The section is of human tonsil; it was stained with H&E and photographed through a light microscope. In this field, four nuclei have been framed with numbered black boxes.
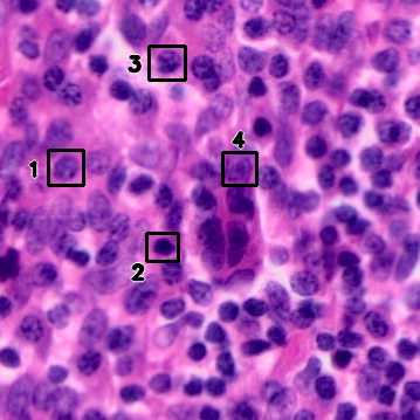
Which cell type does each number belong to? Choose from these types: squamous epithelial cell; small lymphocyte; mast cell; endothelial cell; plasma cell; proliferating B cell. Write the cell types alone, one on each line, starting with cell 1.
plasma cell
plasma cell
plasma cell
squamous epithelial cell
